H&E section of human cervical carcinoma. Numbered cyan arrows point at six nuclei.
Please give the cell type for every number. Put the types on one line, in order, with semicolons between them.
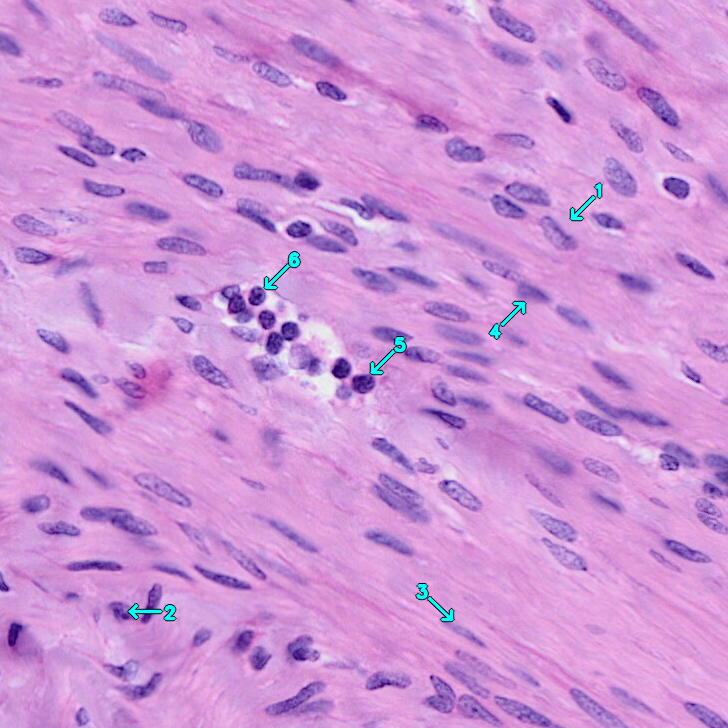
fibroblast; fibroblast; fibroblast; fibroblast; lymphocyte; lymphocyte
